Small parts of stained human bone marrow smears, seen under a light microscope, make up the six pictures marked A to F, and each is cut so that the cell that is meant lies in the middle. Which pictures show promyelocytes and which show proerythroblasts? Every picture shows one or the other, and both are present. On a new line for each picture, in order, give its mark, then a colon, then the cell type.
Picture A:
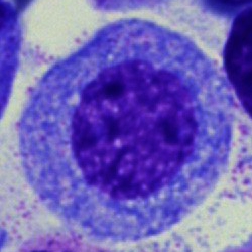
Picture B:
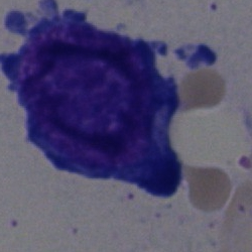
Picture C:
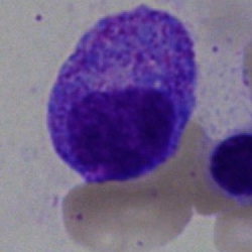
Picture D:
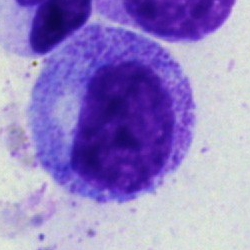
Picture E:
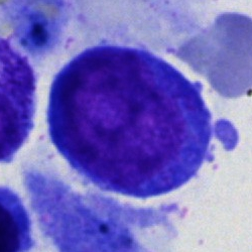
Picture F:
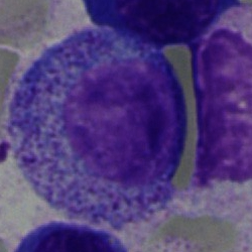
A: promyelocyte
B: proerythroblast
C: promyelocyte
D: promyelocyte
E: proerythroblast
F: promyelocyte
